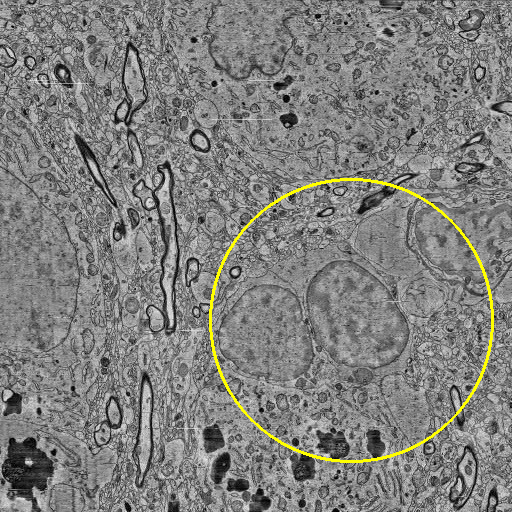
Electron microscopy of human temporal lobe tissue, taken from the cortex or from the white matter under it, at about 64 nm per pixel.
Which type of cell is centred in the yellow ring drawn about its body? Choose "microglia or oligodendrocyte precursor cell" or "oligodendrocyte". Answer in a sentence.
The yellow ring surrounds the cell body of an oligodendrocyte.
